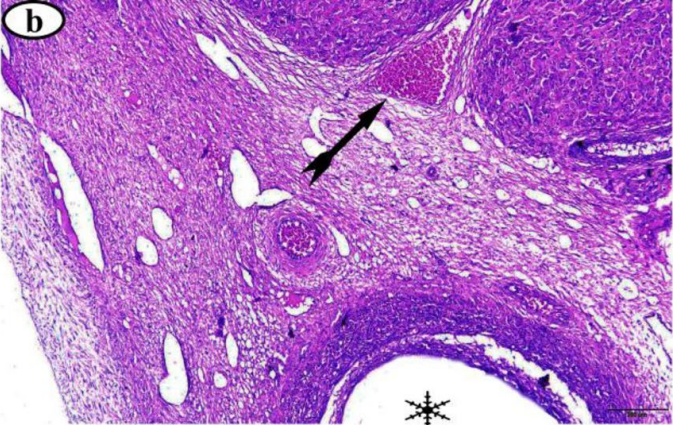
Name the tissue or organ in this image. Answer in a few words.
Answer: Ovary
